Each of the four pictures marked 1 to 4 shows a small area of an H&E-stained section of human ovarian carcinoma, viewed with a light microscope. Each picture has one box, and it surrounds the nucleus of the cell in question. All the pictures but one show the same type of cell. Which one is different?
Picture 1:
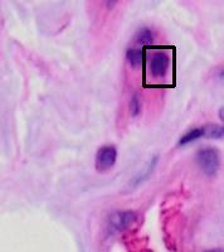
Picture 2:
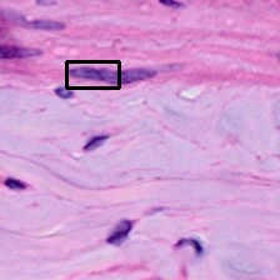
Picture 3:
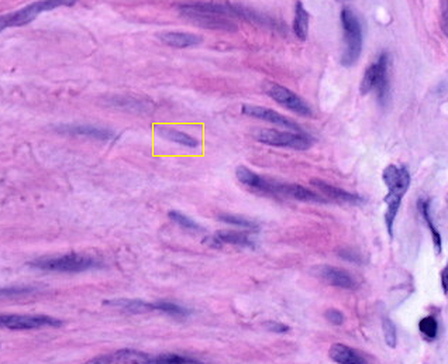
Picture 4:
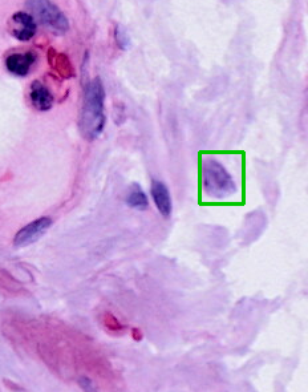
4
